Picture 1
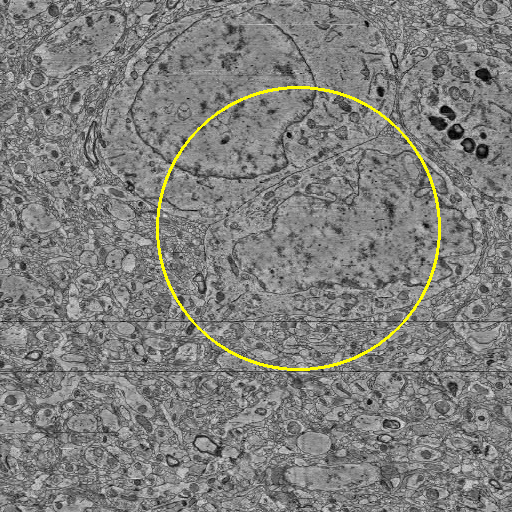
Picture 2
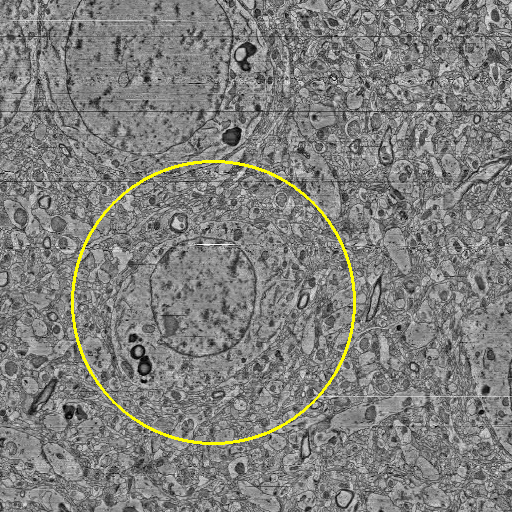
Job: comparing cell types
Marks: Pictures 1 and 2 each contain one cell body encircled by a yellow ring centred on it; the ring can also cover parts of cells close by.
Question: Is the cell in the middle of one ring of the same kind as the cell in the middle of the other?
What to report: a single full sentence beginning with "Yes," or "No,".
No, the cell at the ring centre in Picture 1 and its partner in Picture 2 are of two kinds.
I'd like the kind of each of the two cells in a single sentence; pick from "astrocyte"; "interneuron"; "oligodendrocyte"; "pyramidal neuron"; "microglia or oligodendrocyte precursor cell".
The first ring marks an interneuron, and the second ring marks a pyramidal neuron.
